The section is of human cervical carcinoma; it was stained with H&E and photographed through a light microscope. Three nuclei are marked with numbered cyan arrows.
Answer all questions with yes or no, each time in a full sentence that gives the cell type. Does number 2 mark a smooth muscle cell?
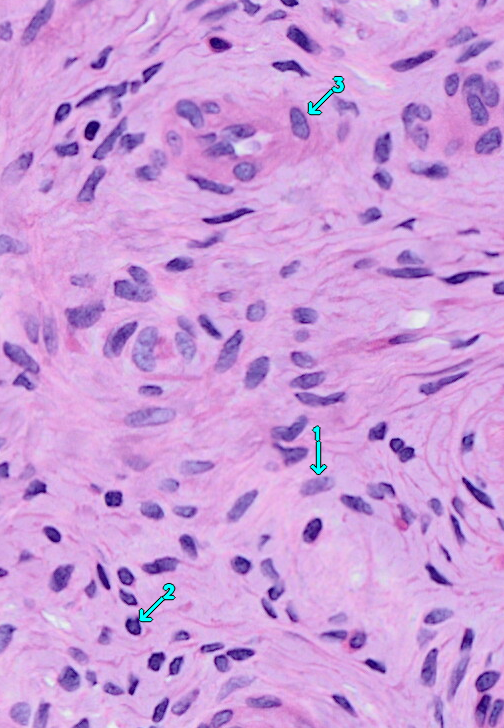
No, cell 2 is to be classed as a fibroblast, not a smooth muscle cell.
